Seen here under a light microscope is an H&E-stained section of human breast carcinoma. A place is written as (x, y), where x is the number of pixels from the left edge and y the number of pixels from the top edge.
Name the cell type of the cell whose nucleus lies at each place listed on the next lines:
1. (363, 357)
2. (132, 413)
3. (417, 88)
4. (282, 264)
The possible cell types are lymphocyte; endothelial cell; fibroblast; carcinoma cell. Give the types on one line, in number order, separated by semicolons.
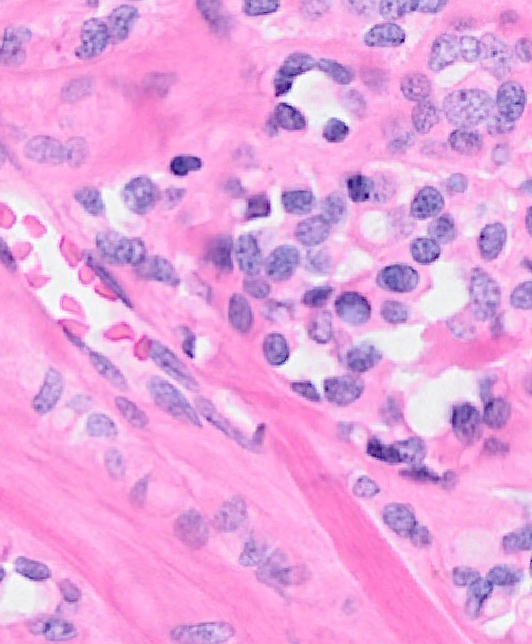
carcinoma cell; endothelial cell; carcinoma cell; carcinoma cell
